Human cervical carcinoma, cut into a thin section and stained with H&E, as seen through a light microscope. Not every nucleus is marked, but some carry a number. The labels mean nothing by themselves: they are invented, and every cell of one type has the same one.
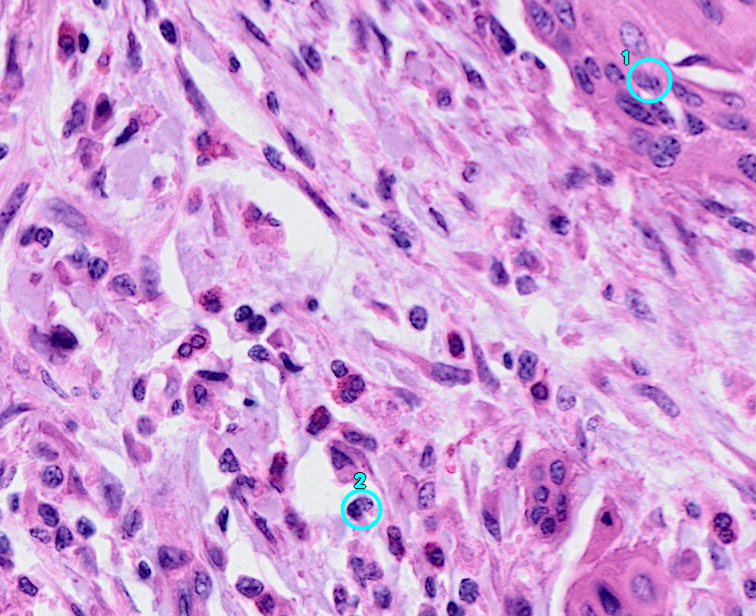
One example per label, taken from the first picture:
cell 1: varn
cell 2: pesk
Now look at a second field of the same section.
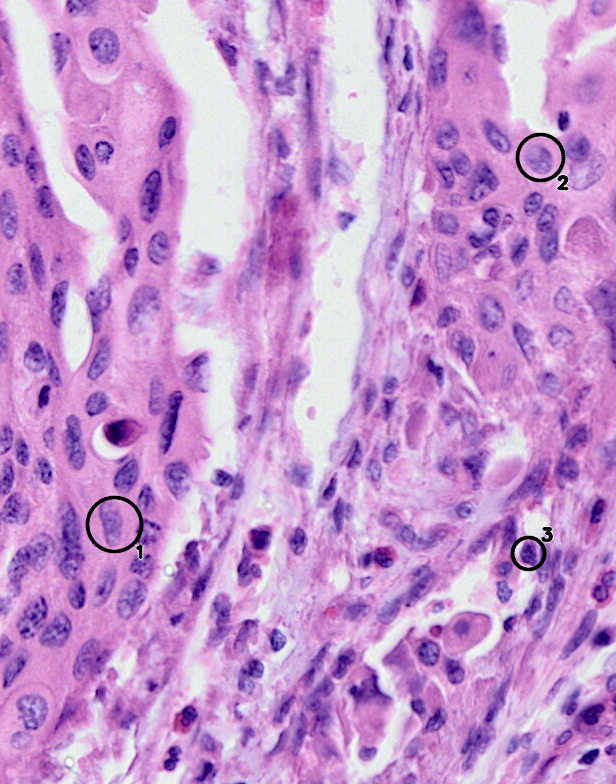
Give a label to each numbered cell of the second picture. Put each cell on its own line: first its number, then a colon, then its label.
1: varn
2: varn
3: pesk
